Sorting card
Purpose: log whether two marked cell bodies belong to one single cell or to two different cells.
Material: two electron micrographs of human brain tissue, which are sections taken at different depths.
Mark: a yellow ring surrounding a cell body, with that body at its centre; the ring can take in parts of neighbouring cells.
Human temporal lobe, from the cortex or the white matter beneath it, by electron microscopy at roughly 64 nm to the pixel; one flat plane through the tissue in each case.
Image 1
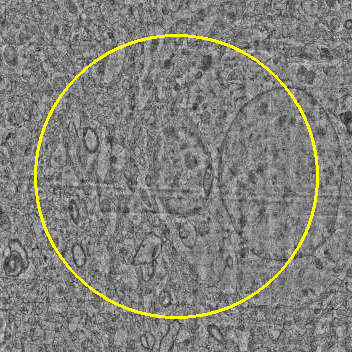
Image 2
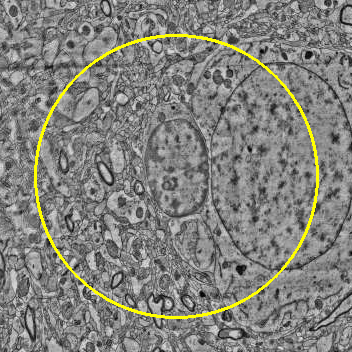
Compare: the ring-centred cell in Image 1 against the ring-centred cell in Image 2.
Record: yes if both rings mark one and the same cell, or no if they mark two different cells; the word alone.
yes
